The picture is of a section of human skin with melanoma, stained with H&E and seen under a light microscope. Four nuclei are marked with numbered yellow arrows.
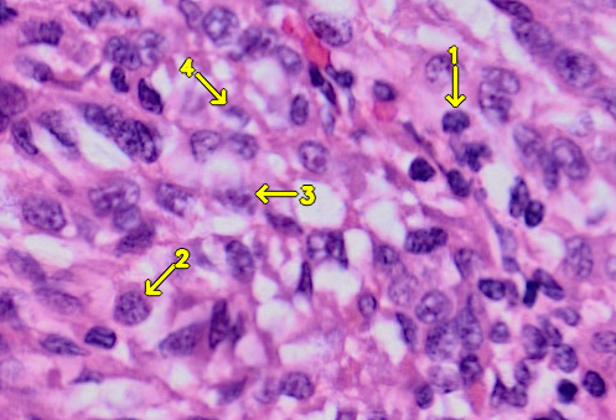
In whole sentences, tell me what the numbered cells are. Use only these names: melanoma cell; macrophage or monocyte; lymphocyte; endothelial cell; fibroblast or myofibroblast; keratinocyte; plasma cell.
Cell 1 is a lymphocyte. Cells 2, 3 and 4 are melanoma cells.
